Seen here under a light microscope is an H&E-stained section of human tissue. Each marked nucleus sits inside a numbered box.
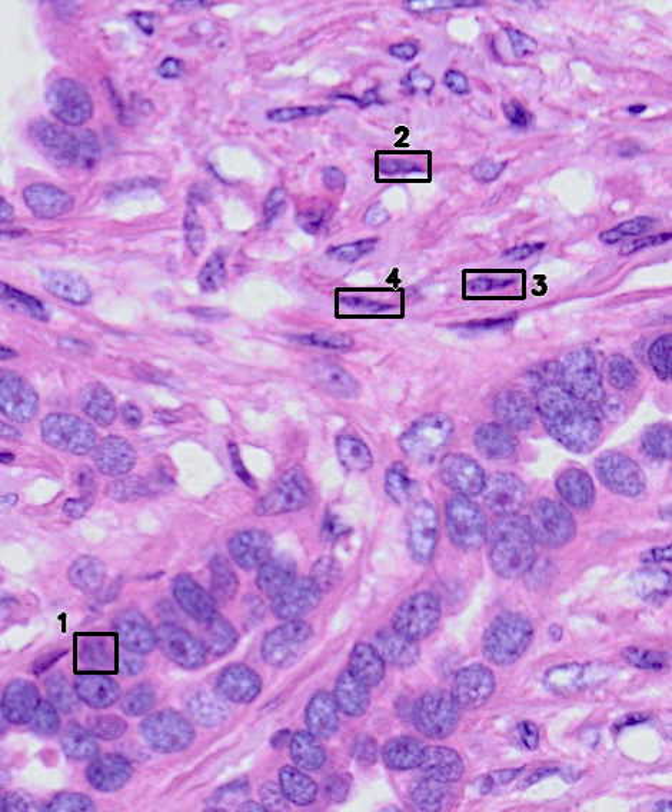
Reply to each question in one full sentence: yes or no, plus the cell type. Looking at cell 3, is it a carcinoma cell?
No, the cell that carries number 3 is a fibroblast, not a carcinoma cell.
